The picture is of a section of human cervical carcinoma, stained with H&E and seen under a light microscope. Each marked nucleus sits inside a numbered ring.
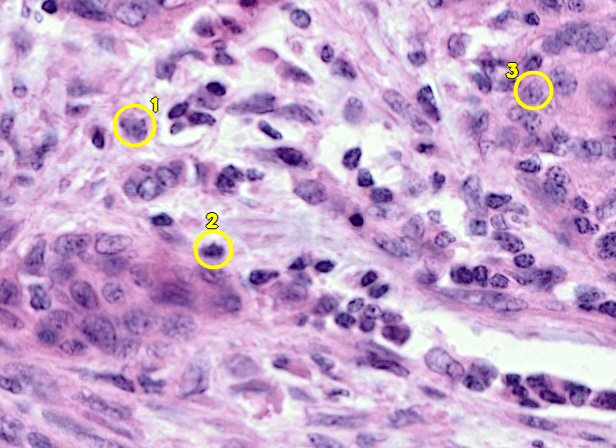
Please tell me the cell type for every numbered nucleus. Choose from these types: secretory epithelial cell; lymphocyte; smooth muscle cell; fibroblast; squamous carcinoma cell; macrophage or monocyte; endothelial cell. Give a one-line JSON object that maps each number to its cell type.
{"1": "macrophage or monocyte", "2": "lymphocyte", "3": "squamous carcinoma cell"}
